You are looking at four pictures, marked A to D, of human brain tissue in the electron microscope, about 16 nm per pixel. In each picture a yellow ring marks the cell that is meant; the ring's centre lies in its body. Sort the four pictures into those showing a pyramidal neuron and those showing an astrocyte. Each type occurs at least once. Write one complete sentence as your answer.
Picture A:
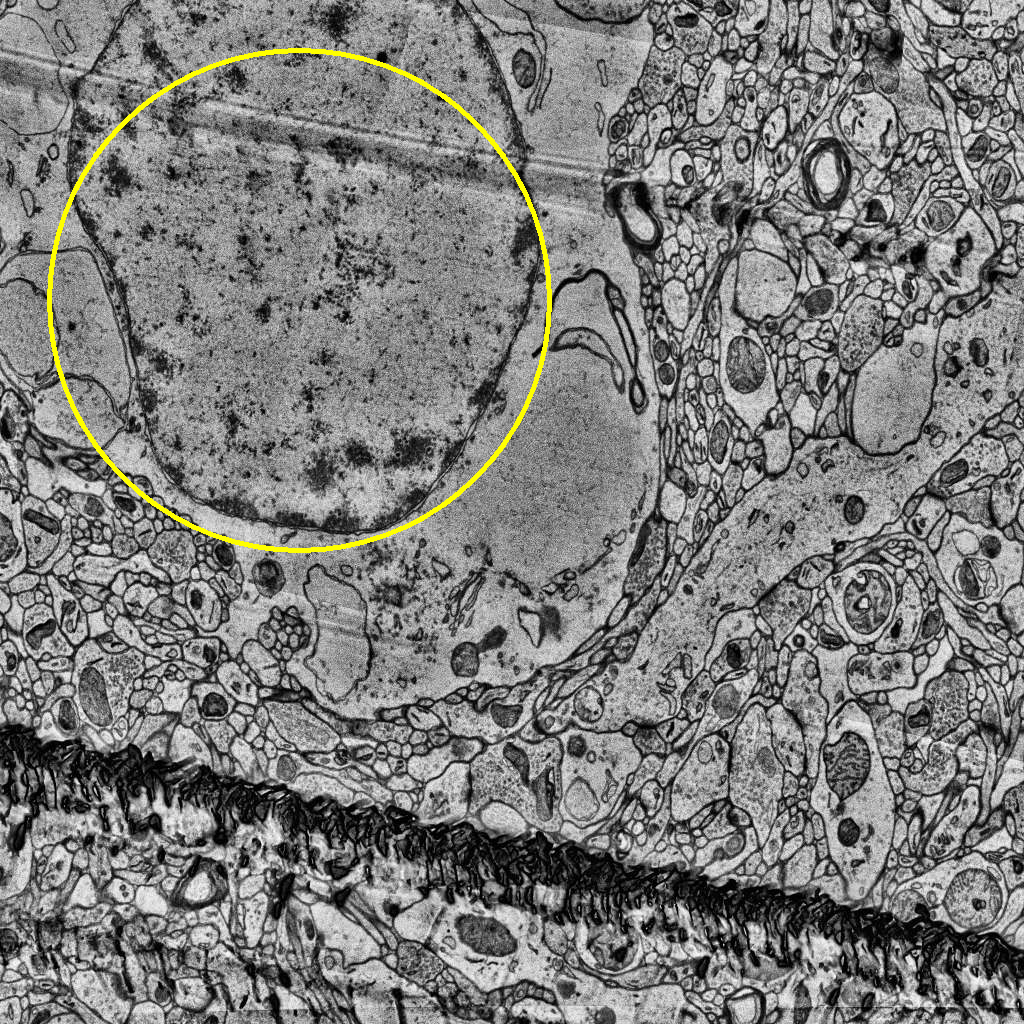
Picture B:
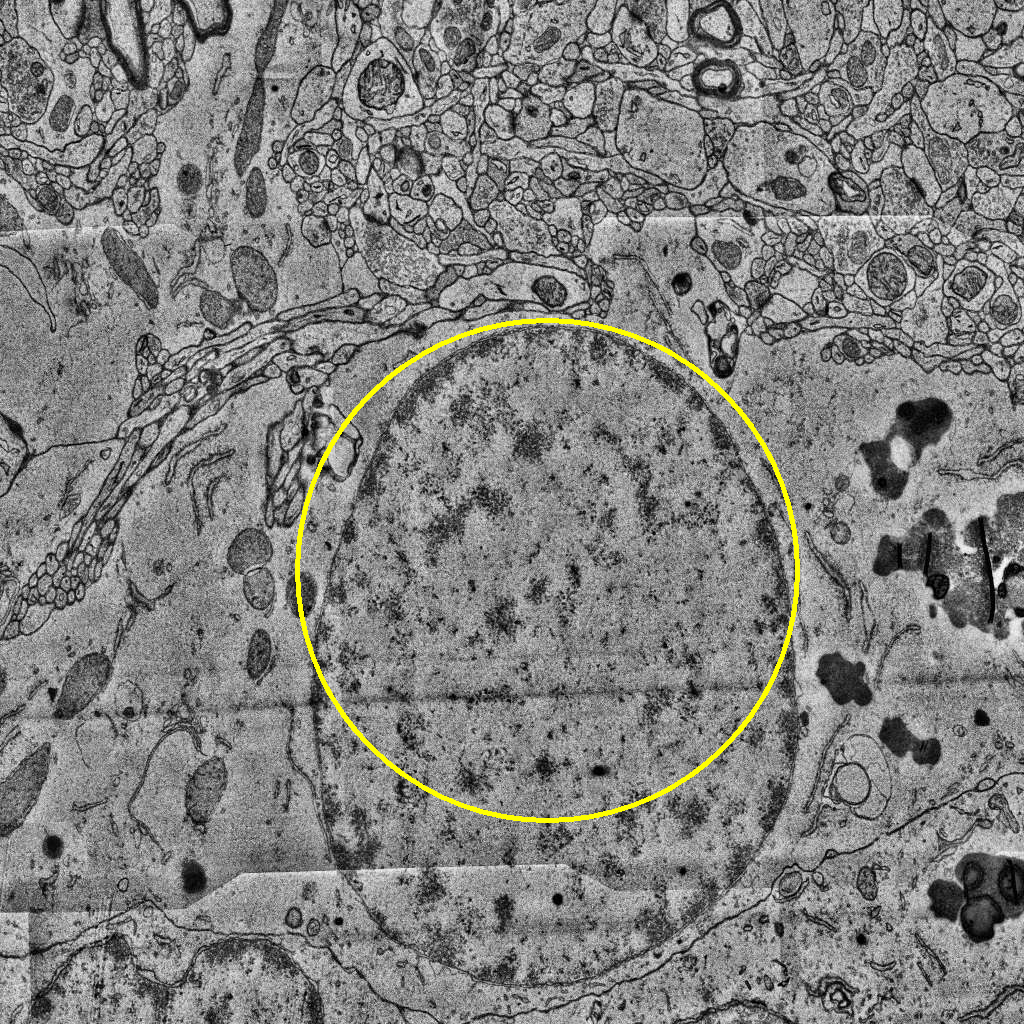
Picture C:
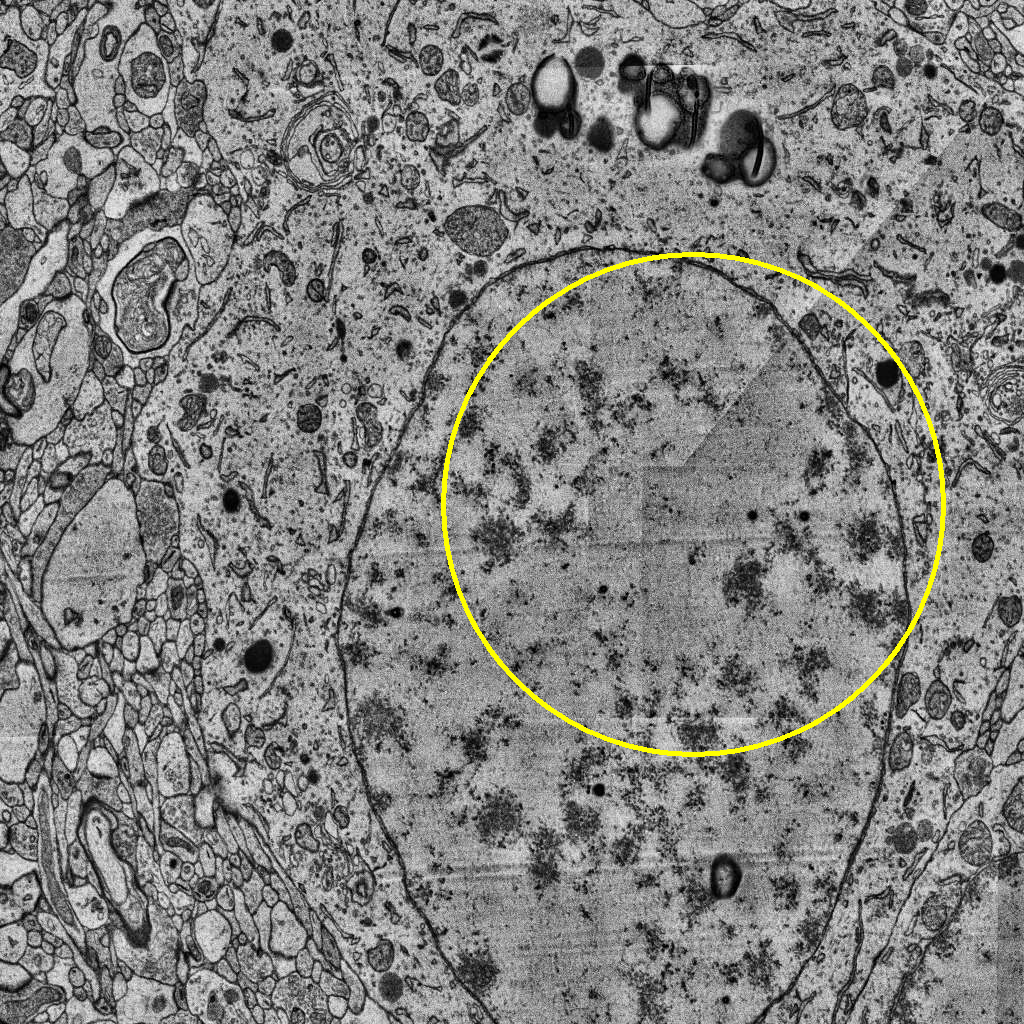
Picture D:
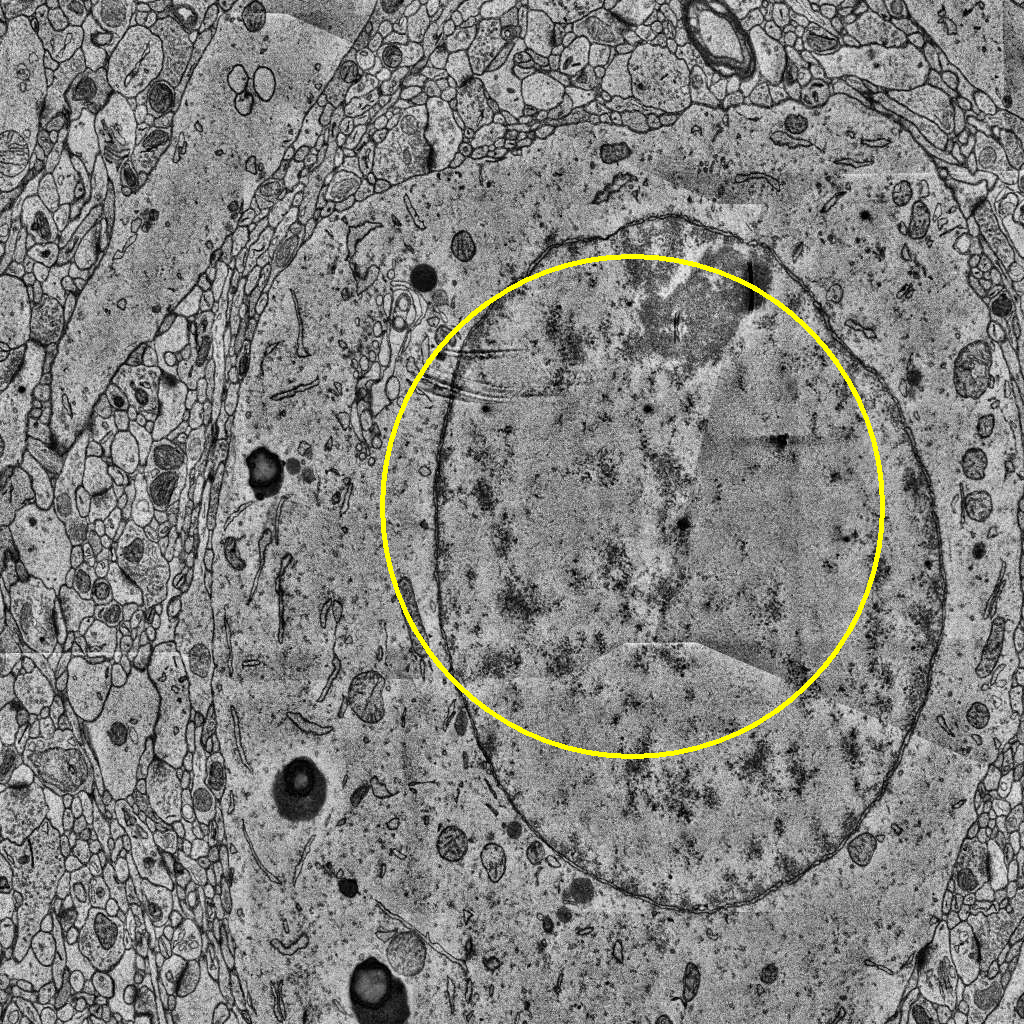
Pictures C and D show pyramidal neurons; pictures A and B show astrocytes.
